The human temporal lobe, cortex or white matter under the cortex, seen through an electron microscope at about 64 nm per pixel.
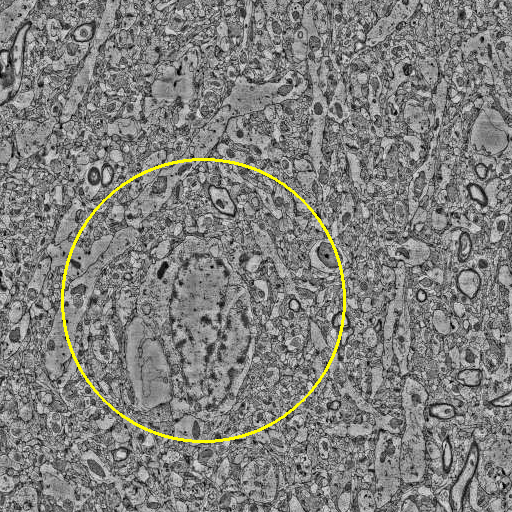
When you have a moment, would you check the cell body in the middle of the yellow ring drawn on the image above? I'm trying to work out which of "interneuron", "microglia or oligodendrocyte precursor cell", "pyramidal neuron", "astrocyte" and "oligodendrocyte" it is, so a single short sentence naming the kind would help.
This cell body belongs to an interneuron.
